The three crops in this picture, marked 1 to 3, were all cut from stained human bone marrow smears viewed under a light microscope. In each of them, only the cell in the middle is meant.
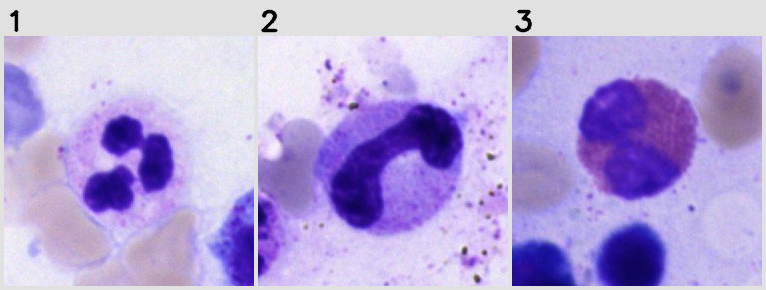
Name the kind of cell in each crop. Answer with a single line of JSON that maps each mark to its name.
{"1": "segmented neutrophil", "2": "band neutrophil", "3": "eosinophil"}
